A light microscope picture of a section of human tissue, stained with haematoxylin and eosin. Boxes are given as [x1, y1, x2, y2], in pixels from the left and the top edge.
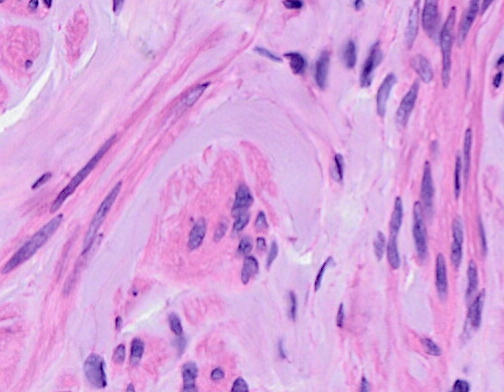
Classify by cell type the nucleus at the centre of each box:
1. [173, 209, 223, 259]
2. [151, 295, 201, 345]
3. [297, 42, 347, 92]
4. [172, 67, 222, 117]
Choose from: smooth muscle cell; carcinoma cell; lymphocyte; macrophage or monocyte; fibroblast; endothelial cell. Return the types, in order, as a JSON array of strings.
["smooth muscle cell", "smooth muscle cell", "fibroblast", "smooth muscle cell"]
